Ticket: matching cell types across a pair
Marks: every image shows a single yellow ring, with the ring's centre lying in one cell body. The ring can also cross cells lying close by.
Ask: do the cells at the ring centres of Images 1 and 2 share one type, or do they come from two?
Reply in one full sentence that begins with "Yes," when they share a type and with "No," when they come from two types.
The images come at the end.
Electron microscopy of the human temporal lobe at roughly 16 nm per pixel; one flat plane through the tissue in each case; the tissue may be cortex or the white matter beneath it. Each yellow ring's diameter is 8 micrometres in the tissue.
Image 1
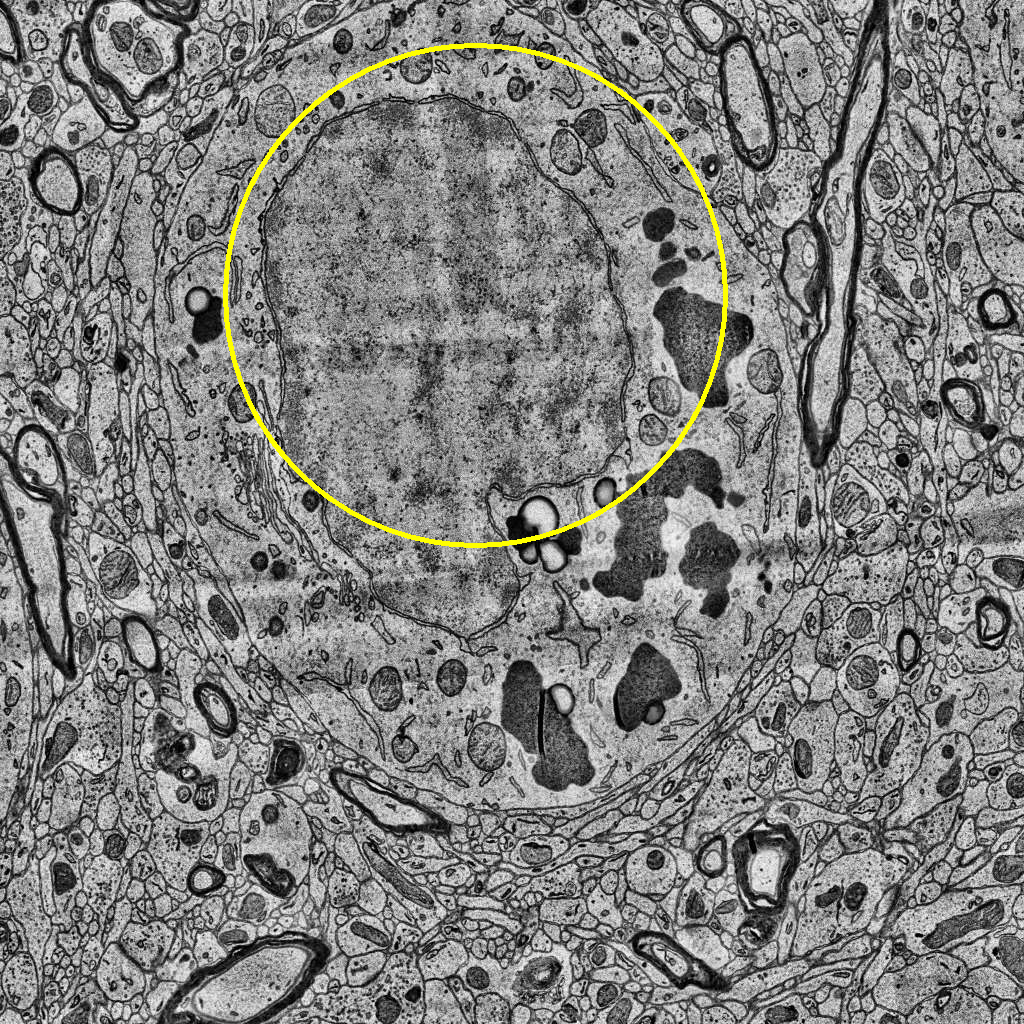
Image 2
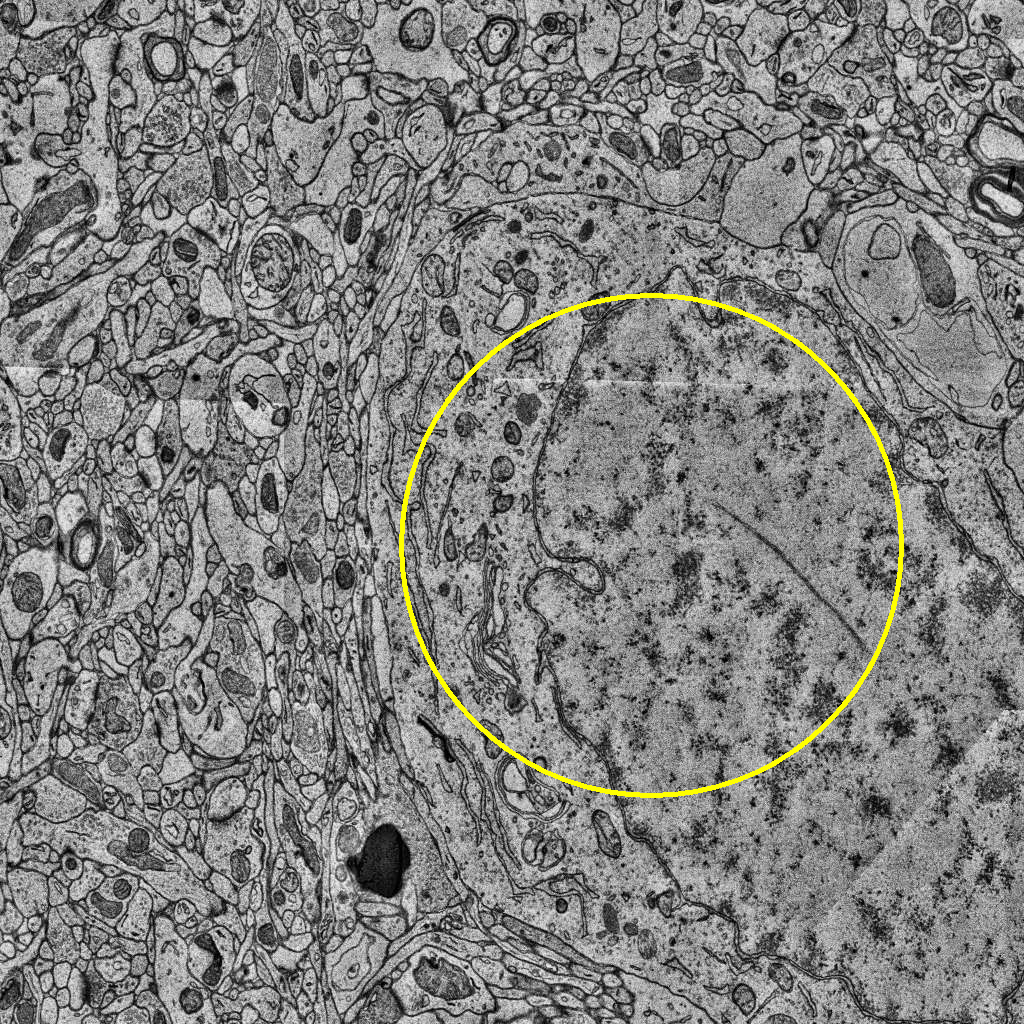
Yes, the cells at the centres of the rings in Image 1 and Image 2 share one type.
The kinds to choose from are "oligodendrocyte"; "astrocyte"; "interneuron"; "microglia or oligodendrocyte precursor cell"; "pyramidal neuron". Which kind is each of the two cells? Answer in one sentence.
The cell at the ring centre is an interneuron in both pictures.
